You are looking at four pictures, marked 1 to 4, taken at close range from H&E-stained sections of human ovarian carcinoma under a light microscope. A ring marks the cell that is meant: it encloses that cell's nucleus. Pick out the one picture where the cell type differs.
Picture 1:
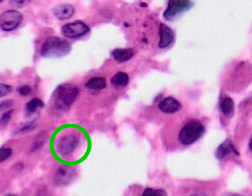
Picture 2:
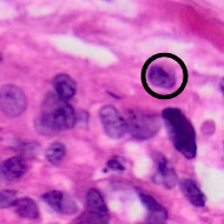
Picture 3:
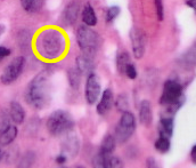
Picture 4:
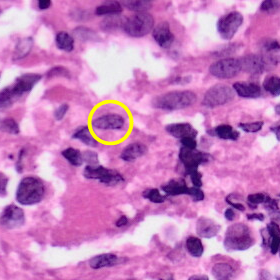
3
